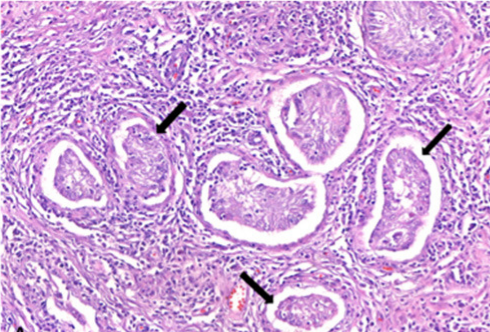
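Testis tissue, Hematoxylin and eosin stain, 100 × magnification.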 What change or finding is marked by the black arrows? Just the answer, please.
Tubular degeneration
